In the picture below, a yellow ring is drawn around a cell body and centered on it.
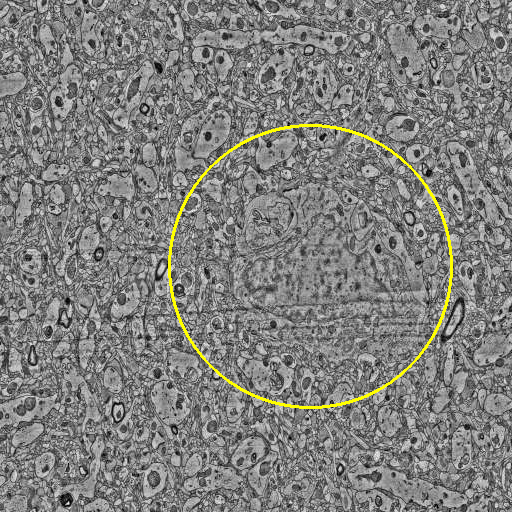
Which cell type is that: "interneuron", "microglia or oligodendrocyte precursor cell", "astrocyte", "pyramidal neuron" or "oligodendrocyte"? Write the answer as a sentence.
The cell centered in the ring is an interneuron.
